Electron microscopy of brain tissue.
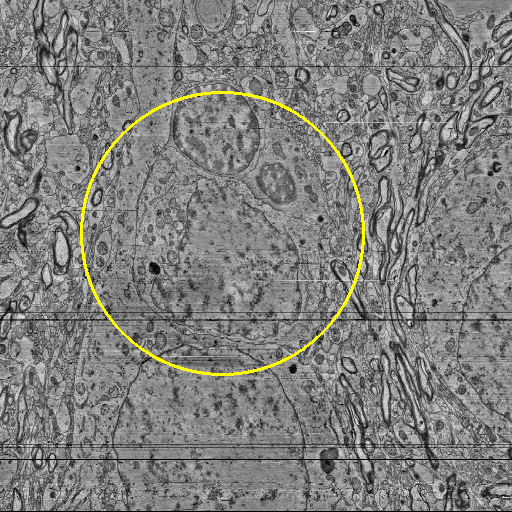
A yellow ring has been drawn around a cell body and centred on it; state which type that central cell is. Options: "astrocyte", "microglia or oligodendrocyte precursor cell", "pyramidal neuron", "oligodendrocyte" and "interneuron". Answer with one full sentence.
The cell at the middle of the yellow ring is an interneuron in this picture.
